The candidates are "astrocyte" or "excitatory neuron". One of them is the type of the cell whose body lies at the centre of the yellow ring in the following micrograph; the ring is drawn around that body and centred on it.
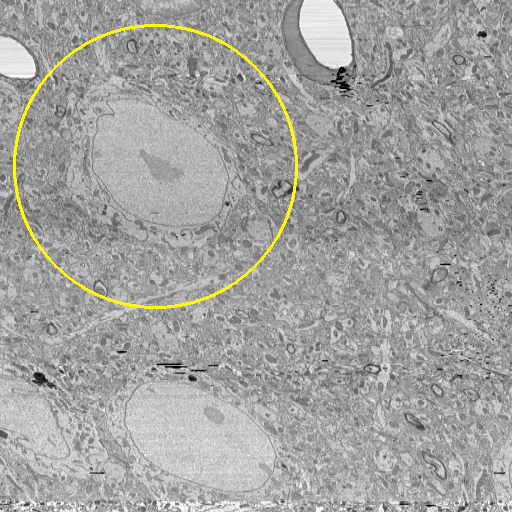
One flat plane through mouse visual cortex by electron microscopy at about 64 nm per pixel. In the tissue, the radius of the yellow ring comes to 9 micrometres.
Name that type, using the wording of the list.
excitatory neuron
